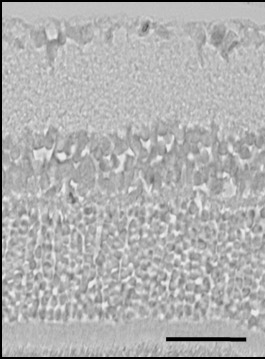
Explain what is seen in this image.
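This retinal section shows orderly, intact layers. A sparse ganglion cell layer lies at the top, with scattered cell bodies, above a wide, pale, finely granular zone. The inner nuclear layer below it contains closely packed rounded nuclei. Beneath that, a thick outer nuclear layer of small, densely crowded nuclei runs evenly across the field.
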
